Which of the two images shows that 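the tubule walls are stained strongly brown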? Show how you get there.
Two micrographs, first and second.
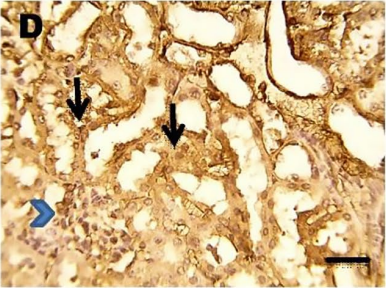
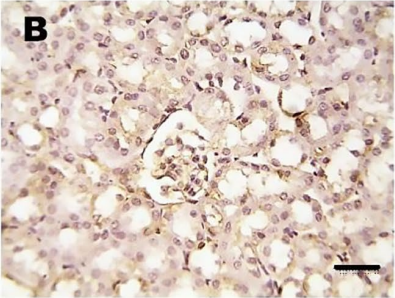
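First image: dense brown stain lines the walls between open tubule lumens. Second image: tubules and the glomerulus show only pale tissue with blue-purple nuclei and no strong brown.
Answer: the first image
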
